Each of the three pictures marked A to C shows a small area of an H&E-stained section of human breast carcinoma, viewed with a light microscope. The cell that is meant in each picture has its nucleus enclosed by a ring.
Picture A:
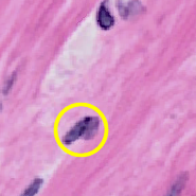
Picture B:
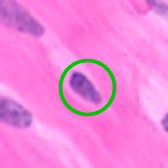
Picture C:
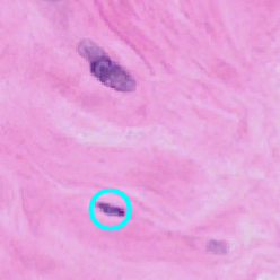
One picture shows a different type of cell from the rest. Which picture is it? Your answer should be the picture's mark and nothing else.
C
